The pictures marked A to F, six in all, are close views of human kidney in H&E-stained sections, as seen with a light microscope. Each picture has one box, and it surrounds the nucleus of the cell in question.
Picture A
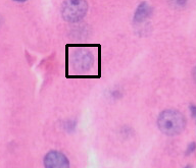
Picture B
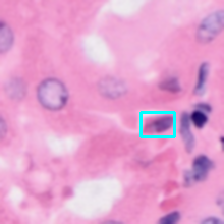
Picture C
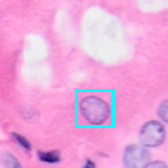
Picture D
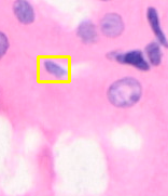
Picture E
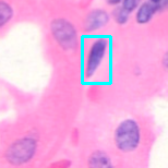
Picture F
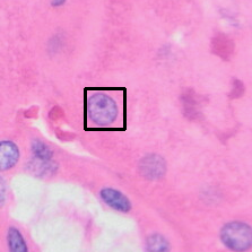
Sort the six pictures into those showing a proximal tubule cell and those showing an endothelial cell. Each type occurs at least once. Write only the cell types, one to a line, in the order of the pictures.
proximal tubule cell
endothelial cell
proximal tubule cell
endothelial cell
endothelial cell
proximal tubule cell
